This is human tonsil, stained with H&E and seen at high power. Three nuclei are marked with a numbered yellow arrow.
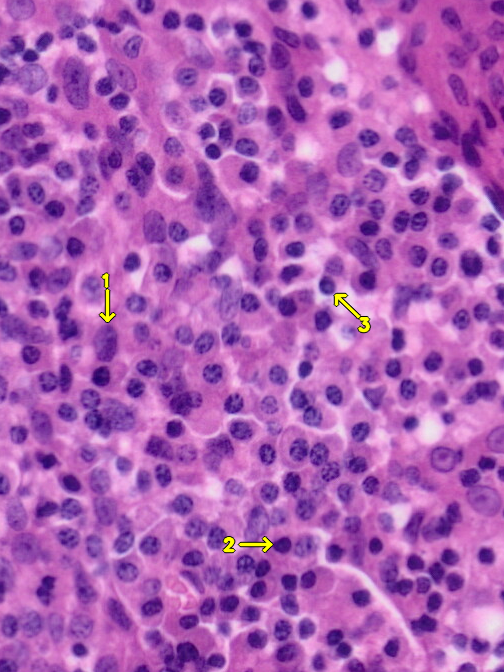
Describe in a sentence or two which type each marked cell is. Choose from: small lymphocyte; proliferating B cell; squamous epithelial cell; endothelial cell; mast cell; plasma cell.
Cell 1 is a squamous epithelial cell, cell 2 is a plasma cell and cell 3 is a plasma cell.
